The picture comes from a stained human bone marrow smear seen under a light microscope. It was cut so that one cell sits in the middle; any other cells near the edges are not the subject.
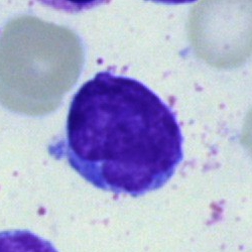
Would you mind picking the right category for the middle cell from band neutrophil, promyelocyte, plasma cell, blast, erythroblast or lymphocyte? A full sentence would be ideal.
Here the cell in the middle is a lymphocyte.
